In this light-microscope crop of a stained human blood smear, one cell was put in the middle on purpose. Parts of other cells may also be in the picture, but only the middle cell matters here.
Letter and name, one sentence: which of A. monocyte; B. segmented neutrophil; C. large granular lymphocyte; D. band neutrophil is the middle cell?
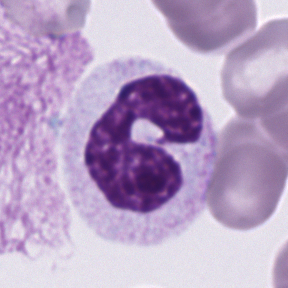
The cell shown centrally is a band neutrophil; option D is the correct option.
